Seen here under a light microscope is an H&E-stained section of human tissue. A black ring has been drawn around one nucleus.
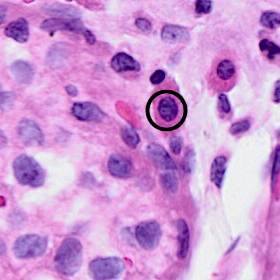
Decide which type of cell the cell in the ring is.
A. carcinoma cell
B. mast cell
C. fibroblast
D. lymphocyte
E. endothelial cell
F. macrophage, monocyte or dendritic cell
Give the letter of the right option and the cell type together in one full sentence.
Looking at the options, pick B; the cell in the ring is a mast cell.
